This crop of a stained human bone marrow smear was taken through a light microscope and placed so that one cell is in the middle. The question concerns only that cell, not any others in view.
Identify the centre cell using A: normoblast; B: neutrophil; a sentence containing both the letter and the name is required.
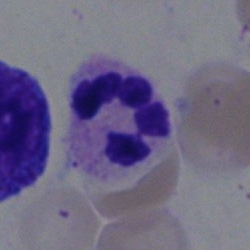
The correct option, B, names the middle cell as a neutrophil.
